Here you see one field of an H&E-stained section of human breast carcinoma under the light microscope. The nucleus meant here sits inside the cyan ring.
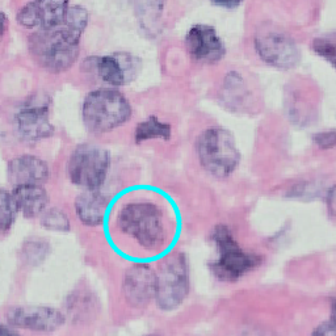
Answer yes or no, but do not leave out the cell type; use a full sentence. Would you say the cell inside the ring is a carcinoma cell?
Yes, the cell type of the cell inside the ring is that of a carcinoma cell.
